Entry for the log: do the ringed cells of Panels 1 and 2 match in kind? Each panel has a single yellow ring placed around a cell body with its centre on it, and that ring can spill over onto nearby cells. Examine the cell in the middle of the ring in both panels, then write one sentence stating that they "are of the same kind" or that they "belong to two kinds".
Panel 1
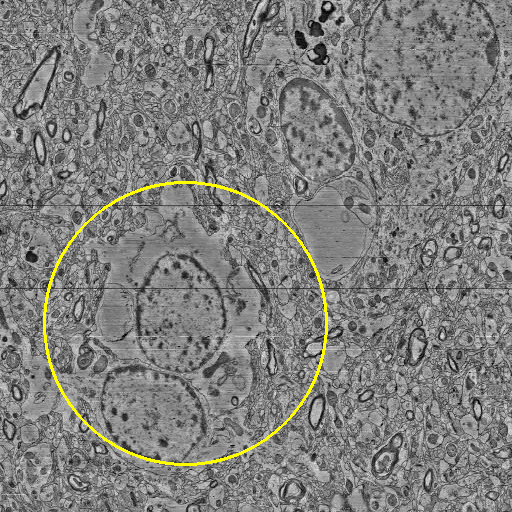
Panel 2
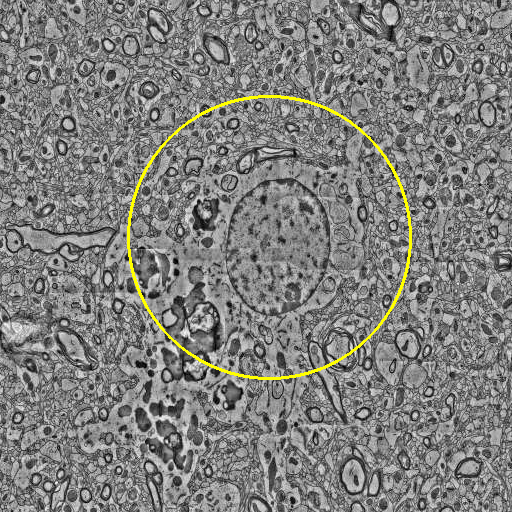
The centre cell of Panel 1's ring and that of Panel 2's ring are of the same kind.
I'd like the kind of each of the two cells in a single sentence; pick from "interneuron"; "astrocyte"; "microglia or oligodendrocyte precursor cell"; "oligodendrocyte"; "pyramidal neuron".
Each one of the two ringed cells is an astrocyte.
